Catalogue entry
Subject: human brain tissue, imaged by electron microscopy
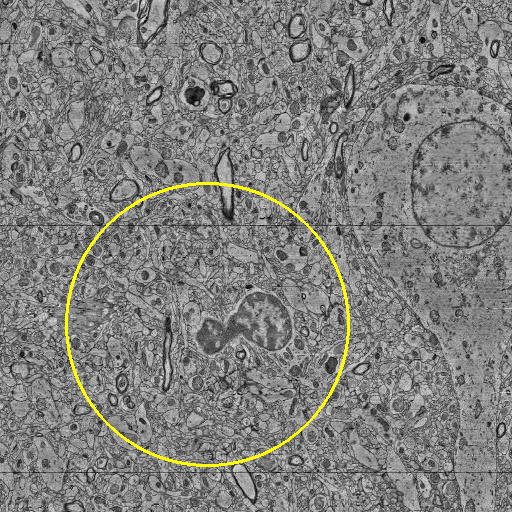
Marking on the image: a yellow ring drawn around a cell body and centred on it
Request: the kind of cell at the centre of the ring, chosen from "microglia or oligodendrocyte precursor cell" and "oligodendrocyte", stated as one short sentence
The ring has a microglial cell or oligodendrocyte precursor cell at its centre.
